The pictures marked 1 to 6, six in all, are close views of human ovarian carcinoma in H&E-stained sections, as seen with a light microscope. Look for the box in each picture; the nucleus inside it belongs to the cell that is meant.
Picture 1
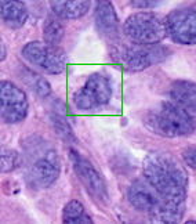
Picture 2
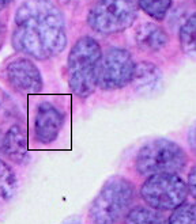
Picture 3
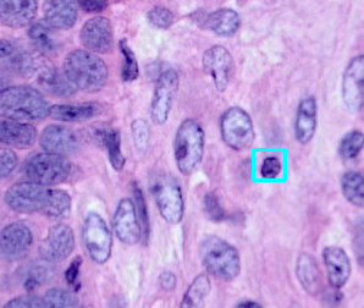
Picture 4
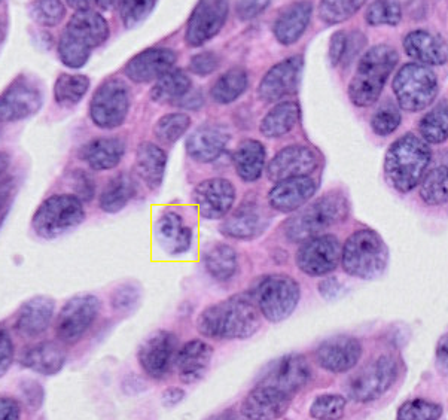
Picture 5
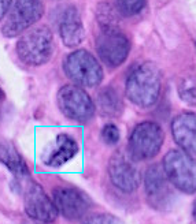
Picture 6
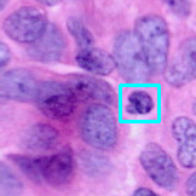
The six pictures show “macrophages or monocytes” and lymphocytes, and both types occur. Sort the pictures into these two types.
1: macrophage or monocyte
2: macrophage or monocyte
3: lymphocyte
4: macrophage or monocyte
5: macrophage or monocyte
6: lymphocyte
